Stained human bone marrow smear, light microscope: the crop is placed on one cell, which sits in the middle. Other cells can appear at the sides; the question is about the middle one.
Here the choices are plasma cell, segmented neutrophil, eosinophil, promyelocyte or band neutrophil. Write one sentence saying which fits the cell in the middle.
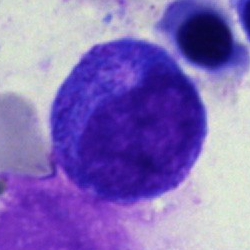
By type, the central cell of the crop is a promyelocyte.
